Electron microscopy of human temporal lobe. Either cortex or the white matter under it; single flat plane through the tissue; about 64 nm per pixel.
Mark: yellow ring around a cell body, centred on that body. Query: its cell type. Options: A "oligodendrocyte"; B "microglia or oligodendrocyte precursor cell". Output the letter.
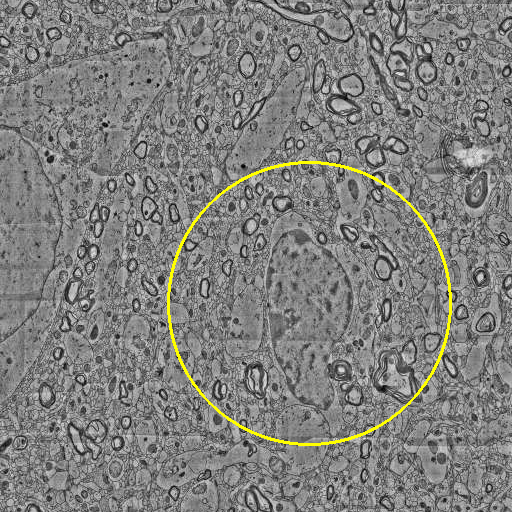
B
